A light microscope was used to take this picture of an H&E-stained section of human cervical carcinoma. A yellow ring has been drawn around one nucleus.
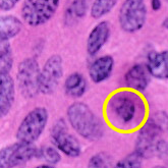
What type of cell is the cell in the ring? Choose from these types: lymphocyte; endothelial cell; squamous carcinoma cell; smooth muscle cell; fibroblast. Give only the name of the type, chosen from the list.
squamous carcinoma cell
